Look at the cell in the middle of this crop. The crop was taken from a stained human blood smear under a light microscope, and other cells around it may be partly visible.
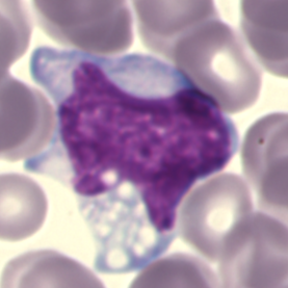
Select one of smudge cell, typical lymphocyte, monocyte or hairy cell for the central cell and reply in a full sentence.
At the crop's centre, the cell is a monocyte.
